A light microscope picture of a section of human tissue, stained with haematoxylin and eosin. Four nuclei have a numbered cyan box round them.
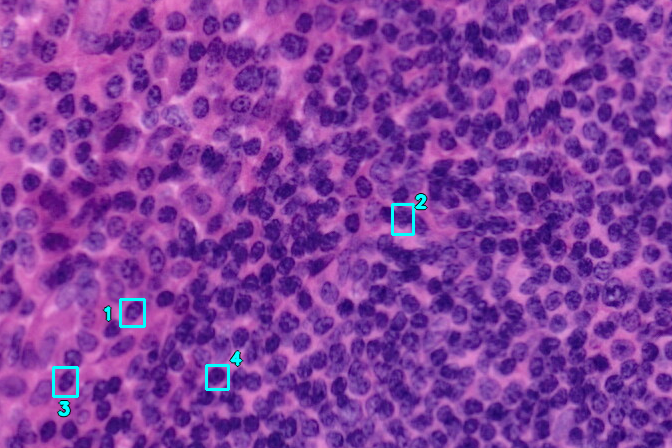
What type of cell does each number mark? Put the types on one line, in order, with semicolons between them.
plasma cell; small lymphocyte; plasma cell; small lymphocyte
